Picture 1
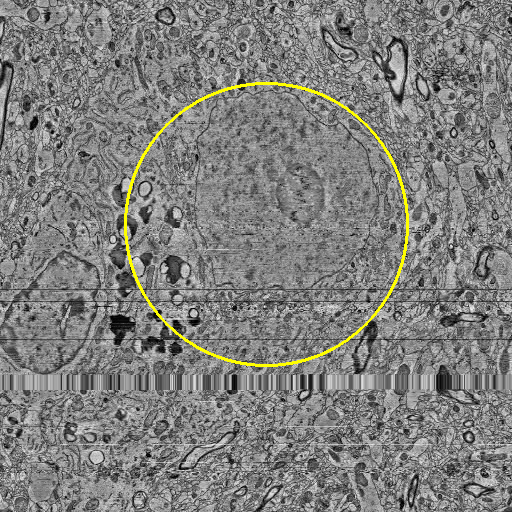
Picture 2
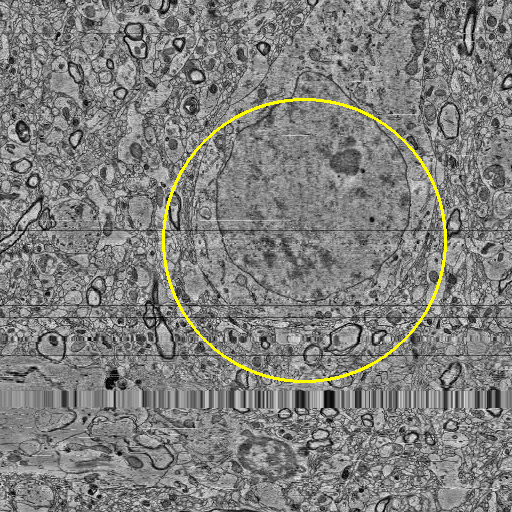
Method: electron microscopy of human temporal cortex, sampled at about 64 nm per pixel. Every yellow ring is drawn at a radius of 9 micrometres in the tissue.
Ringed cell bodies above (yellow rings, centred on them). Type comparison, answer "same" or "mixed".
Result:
same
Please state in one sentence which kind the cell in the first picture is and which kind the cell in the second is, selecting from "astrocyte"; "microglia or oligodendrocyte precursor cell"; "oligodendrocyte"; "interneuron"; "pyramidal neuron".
Both the first and the second picture show a pyramidal neuron in the ring.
